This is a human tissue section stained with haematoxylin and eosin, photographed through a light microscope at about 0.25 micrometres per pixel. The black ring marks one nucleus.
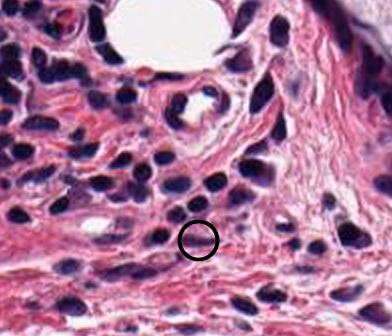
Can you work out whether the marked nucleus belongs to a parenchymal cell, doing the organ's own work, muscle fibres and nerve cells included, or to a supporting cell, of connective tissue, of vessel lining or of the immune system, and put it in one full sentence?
The marked nucleus is contained in a supporting cell.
